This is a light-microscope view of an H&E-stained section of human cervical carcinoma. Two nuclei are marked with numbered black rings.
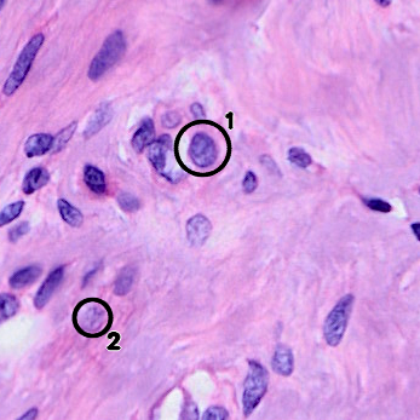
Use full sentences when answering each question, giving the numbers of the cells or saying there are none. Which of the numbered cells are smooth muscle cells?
Only the cell numbered 2 is a smooth muscle cell, and the others are something else.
